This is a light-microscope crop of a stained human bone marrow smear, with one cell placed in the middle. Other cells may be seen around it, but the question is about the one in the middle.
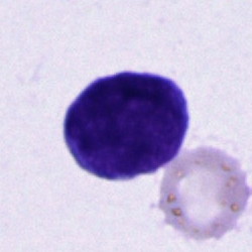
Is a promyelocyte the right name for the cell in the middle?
no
